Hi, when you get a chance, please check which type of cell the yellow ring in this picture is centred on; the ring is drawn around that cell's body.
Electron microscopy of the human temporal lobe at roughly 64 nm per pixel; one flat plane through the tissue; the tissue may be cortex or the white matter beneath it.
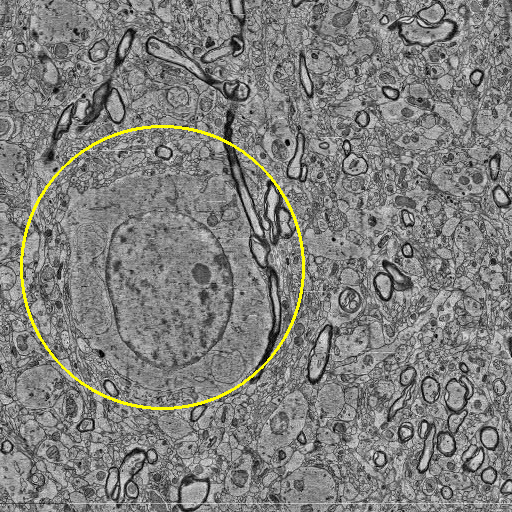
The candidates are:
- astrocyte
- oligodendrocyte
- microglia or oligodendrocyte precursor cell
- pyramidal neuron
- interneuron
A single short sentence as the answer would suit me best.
The ring is drawn around the body of an astrocyte.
